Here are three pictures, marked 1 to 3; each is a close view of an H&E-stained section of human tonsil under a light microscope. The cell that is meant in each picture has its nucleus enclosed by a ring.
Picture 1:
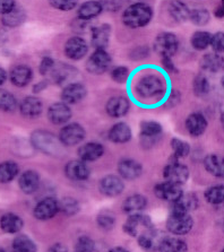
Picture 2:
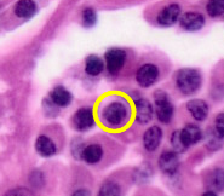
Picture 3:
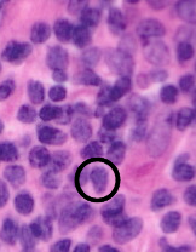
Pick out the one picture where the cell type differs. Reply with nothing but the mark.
3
